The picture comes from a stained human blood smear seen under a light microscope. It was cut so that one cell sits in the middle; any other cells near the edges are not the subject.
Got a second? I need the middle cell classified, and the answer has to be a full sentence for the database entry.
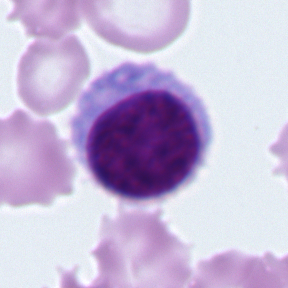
In this crop, the cell at the very middle is a hairy cell.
